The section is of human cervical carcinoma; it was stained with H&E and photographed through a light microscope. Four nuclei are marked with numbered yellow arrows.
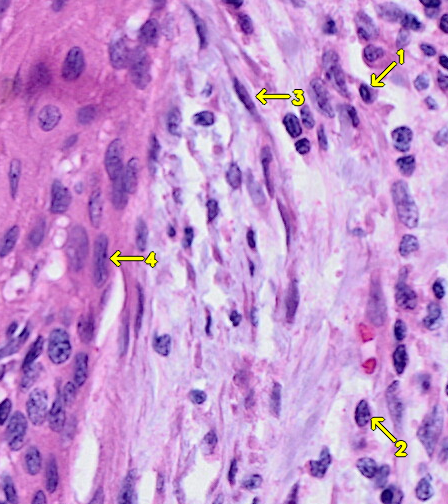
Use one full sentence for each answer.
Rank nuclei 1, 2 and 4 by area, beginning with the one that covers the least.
From smallest to largest, the order is 1, 2, 4.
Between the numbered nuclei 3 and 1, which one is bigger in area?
At about 2 times the area of nucleus 1, nucleus 3 is the larger of the two.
